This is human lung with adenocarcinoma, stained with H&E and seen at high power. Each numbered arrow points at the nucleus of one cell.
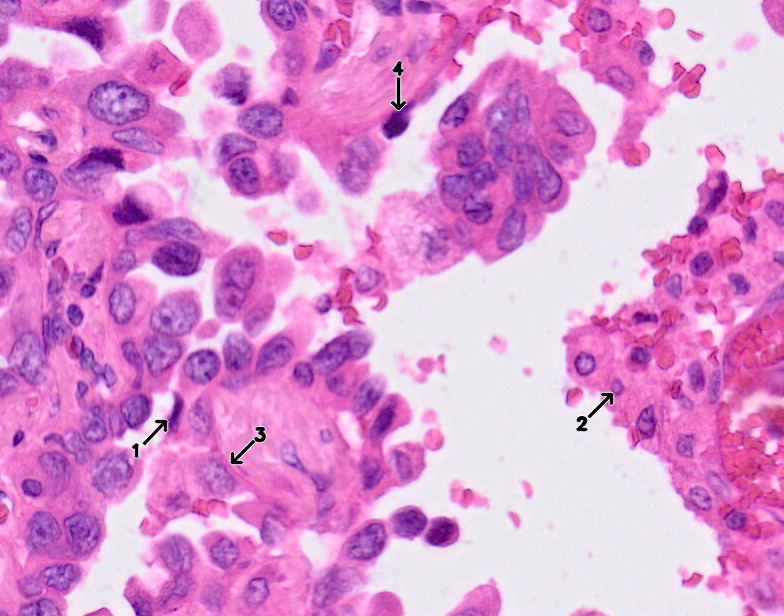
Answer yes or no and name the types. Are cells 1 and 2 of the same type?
No, cell 2 is a macrophage or monocyte, and cell 1 is a carcinoma cell.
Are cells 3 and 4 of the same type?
Yes, with respect to identity, cells 3 and 4 are both carcinoma cells.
